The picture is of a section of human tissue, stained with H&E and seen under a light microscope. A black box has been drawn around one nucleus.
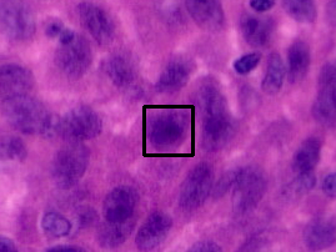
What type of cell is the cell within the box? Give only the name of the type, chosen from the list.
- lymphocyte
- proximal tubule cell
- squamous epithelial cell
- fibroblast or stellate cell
squamous epithelial cell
